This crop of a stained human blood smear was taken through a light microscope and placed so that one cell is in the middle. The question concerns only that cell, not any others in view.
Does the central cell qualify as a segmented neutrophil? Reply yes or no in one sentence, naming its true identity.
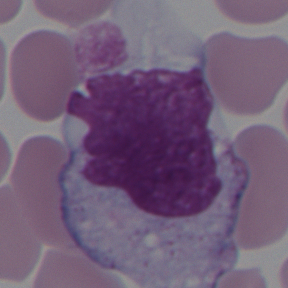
No, the cell in the middle is a monocyte, not a segmented neutrophil.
